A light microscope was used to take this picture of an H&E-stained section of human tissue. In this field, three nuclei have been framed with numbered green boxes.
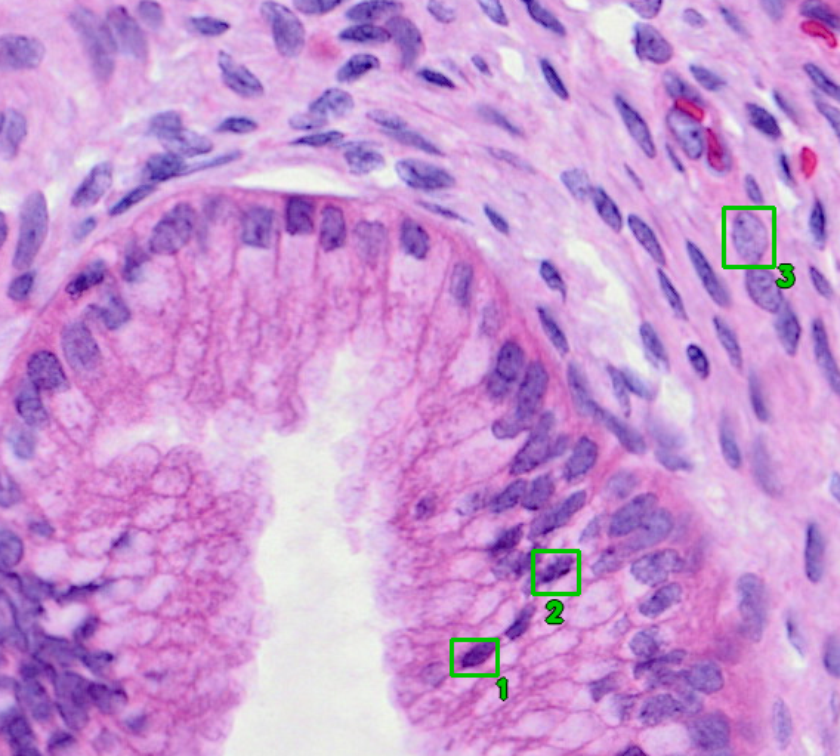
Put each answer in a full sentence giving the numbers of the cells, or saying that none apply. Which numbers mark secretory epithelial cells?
When it comes to cells 1 and 2, they are secretory epithelial cells.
